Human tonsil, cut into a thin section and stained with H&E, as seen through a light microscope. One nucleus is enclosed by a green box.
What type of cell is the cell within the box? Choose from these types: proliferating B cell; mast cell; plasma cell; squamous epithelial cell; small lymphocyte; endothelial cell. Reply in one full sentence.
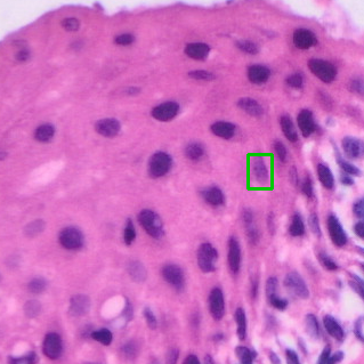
Cytologically, the cell within the box is to be regarded as a squamous epithelial cell.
